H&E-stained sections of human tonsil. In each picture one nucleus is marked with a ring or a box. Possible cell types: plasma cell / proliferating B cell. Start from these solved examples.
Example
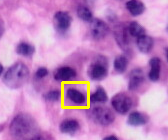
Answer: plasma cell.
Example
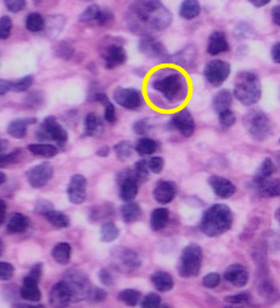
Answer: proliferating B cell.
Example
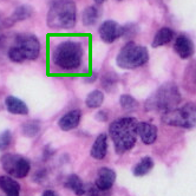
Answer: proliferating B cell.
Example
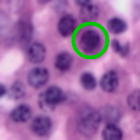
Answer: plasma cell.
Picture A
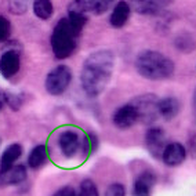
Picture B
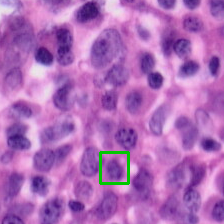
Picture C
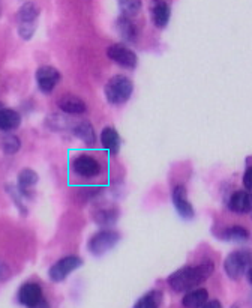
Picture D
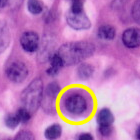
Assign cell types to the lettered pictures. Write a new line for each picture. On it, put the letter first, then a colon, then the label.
A: plasma cell.
B: plasma cell.
C: plasma cell.
D: plasma cell.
